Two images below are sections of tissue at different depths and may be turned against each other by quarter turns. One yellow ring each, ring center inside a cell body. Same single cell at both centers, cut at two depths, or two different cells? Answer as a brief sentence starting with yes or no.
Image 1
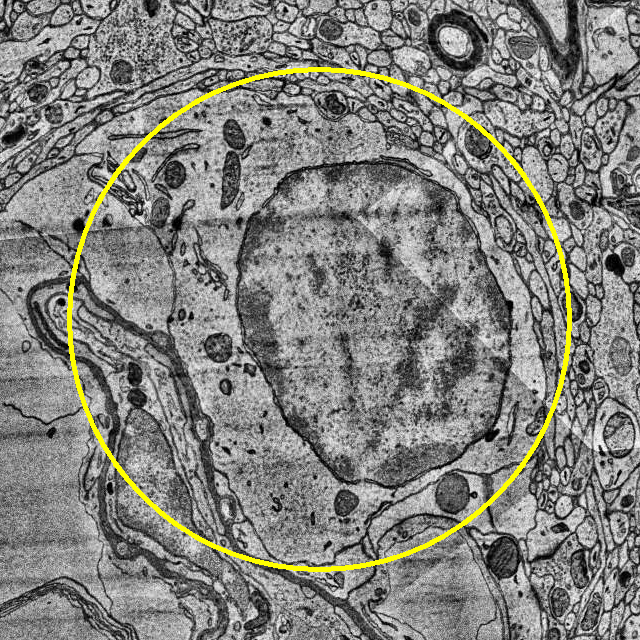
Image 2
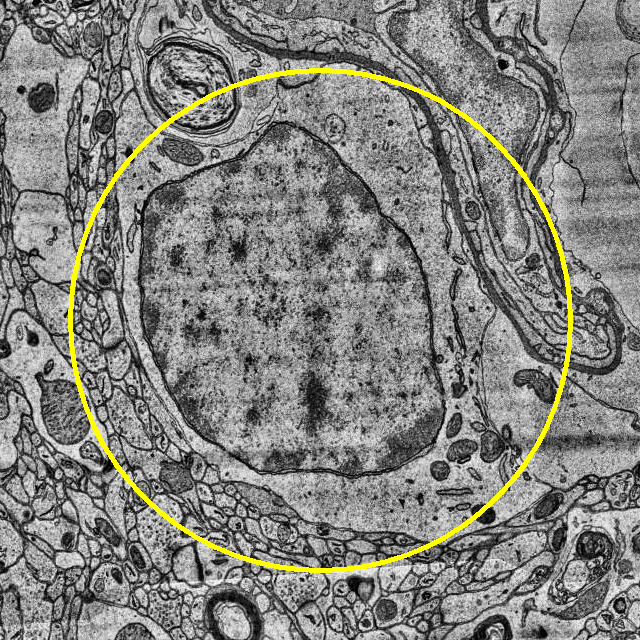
Yes, what the two rings mark is one cell.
